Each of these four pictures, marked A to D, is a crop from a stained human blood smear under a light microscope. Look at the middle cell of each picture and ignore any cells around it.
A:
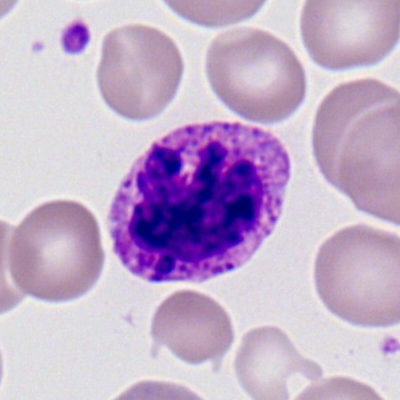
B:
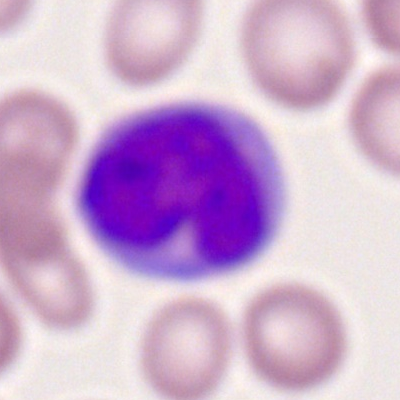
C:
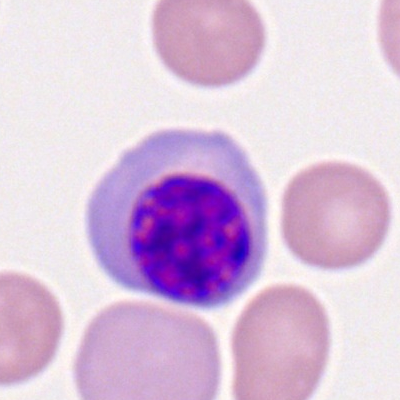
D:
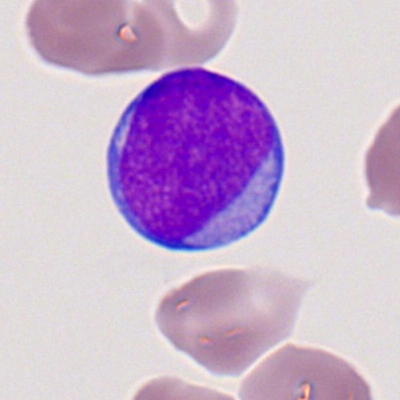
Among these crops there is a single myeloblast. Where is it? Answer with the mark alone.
D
